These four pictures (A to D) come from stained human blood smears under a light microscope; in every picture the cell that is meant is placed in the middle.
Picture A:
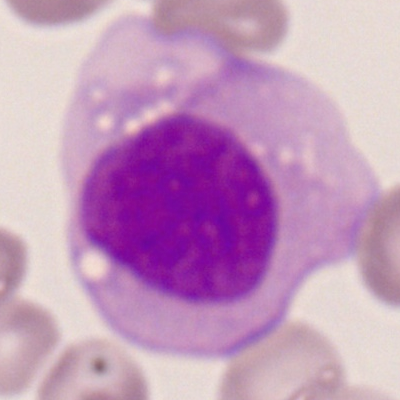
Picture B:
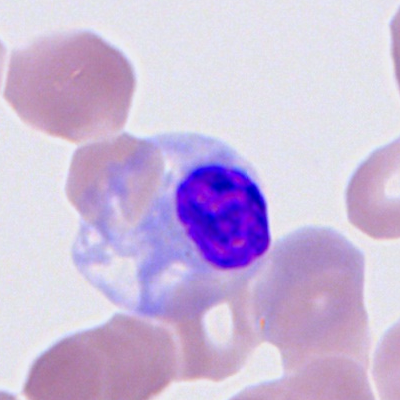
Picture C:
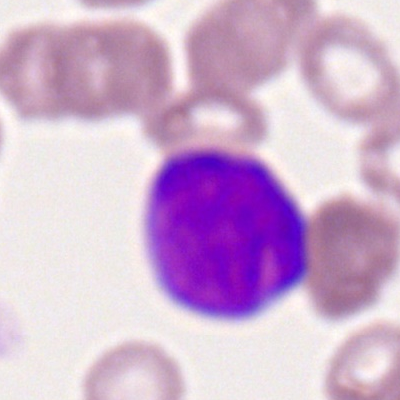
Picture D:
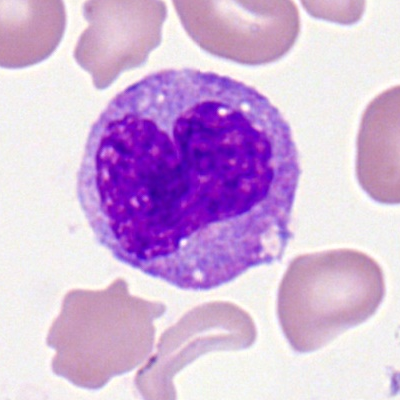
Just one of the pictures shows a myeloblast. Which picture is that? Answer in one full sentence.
The picture with the myeloblast is C.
